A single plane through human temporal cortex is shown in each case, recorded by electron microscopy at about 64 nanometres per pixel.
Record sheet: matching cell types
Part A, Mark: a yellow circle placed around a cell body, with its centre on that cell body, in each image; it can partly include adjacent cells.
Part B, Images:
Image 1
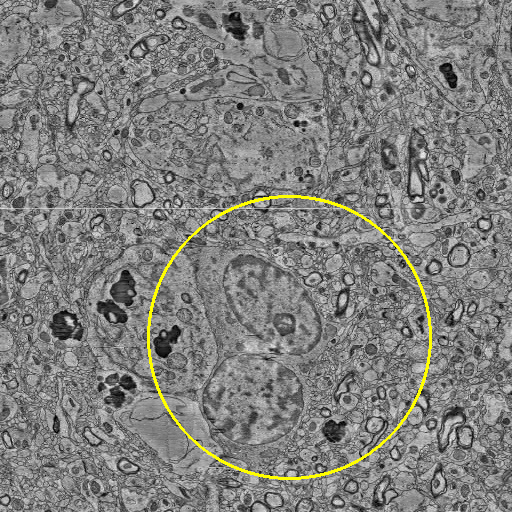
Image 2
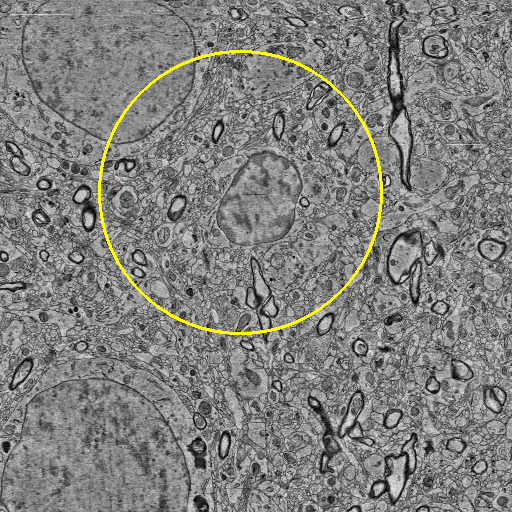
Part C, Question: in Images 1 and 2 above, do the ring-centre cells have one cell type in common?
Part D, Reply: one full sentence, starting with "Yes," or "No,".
No, the ring-centre cells of Image 1 and Image 2 are each of a separate cell type.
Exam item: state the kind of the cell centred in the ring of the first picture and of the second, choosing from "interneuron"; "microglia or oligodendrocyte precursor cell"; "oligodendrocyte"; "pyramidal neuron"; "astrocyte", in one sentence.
The first picture shows an oligodendrocyte at the ring centre and the second shows a microglial cell or oligodendrocyte precursor cell.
